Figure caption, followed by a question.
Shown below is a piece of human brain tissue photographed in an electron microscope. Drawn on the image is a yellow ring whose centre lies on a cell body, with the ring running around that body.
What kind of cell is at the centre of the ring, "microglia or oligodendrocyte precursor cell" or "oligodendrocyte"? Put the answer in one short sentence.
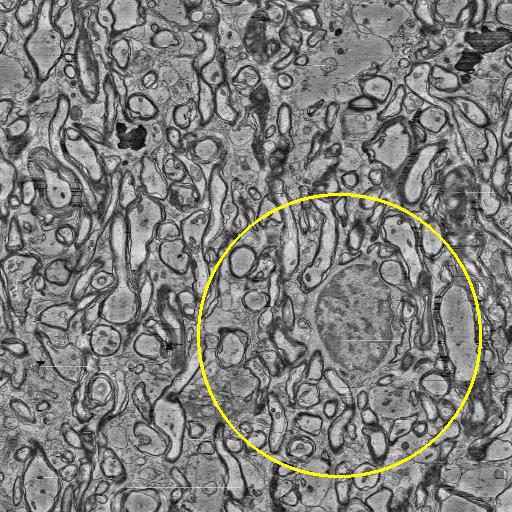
The ring marks the cell body of an oligodendrocyte.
